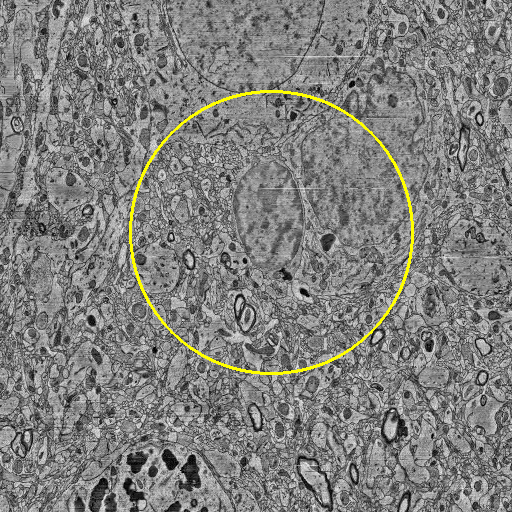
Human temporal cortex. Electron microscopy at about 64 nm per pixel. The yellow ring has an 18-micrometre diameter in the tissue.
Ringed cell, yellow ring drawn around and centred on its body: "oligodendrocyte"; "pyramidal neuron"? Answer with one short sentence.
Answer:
This ringed cell is an oligodendrocyte.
